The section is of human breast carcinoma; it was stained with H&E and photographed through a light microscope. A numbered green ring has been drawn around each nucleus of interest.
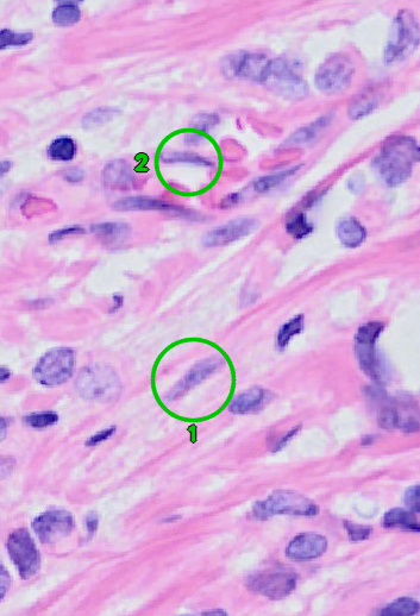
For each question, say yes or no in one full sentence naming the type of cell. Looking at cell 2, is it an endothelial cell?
Yes, of the numbered cells, number 2 is an endothelial cell.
